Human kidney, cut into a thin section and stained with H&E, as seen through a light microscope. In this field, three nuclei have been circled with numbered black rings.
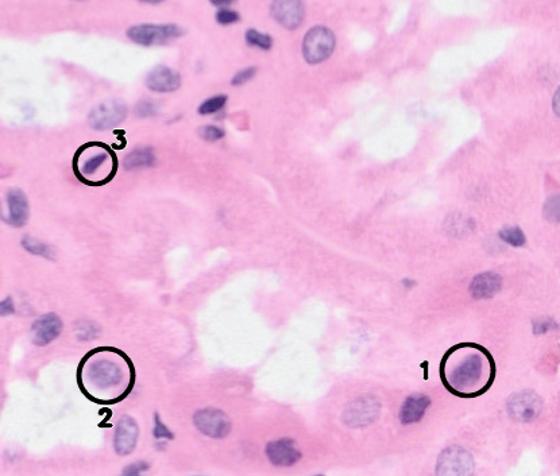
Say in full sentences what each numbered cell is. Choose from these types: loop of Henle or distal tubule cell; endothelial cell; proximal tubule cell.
Cell 1 is a proximal tubule cell. Cell 2 is a loop of Henle or distal tubule cell. Cell 3 is an endothelial cell.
